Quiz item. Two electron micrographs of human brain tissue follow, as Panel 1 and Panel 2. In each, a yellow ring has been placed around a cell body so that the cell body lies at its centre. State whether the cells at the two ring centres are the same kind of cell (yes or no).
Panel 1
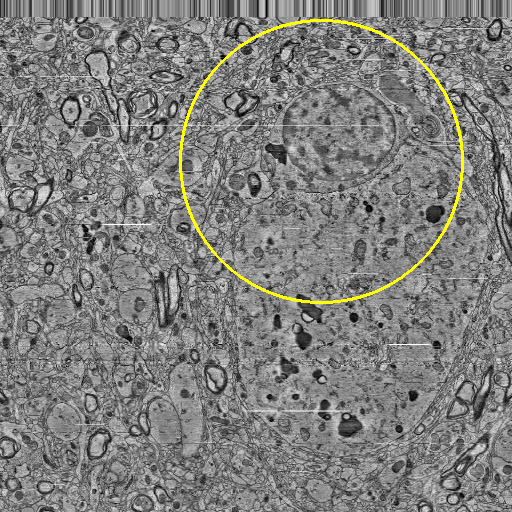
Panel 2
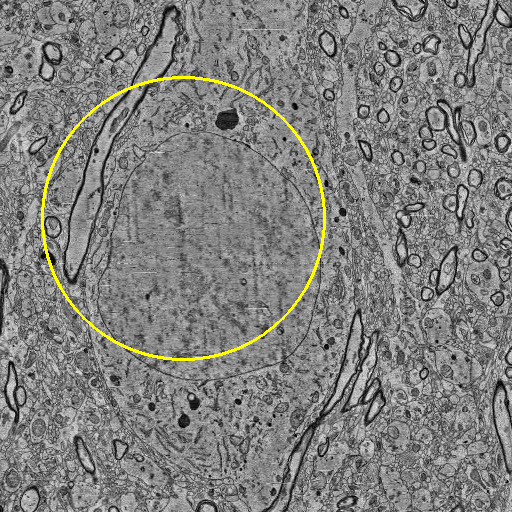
no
